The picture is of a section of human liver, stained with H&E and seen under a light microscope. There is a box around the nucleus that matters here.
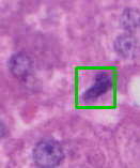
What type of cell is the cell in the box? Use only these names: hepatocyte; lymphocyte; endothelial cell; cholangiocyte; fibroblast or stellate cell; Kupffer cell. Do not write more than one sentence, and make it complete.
The cell type of the cell in the box is that of a Kupffer cell.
